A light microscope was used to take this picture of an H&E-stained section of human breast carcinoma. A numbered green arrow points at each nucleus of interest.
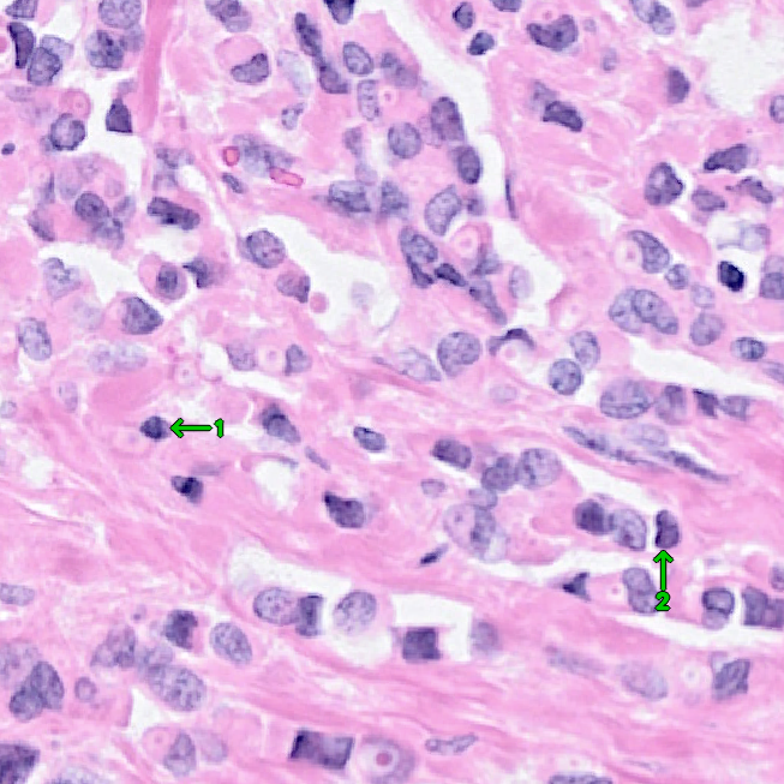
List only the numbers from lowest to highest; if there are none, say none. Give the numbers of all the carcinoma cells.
2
